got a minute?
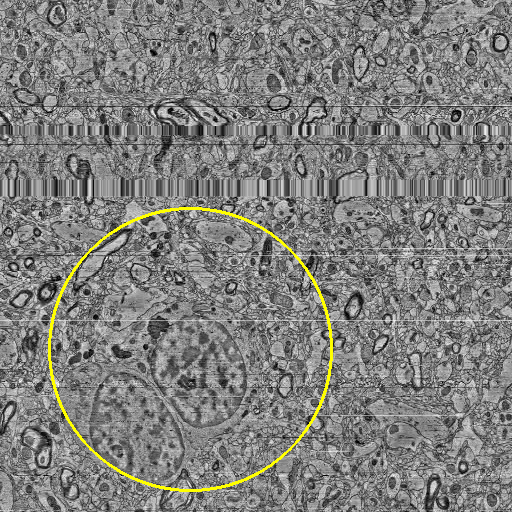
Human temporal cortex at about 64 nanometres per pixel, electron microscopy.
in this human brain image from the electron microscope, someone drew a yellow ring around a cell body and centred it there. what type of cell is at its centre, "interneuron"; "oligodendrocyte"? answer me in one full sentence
It's an oligodendrocyte at the middle of that yellow ring in the shot.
